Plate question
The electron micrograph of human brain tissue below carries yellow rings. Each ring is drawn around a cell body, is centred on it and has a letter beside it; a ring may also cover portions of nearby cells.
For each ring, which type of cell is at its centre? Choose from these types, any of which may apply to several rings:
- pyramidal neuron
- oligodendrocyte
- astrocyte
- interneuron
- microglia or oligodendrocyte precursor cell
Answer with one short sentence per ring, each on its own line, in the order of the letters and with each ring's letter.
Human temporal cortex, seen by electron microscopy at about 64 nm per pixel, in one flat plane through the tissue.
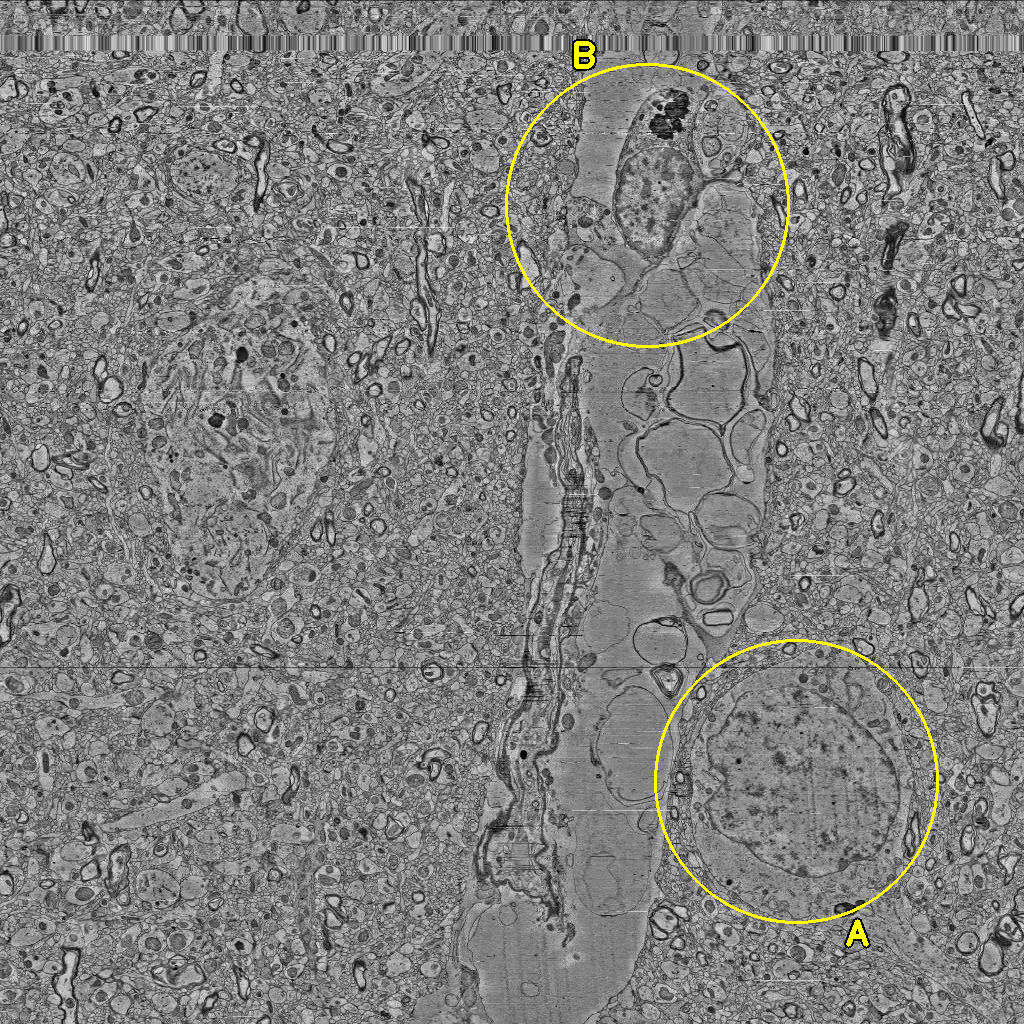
The cell ringed as A is a pyramidal neuron.
The cell ringed as B is an oligodendrocyte.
